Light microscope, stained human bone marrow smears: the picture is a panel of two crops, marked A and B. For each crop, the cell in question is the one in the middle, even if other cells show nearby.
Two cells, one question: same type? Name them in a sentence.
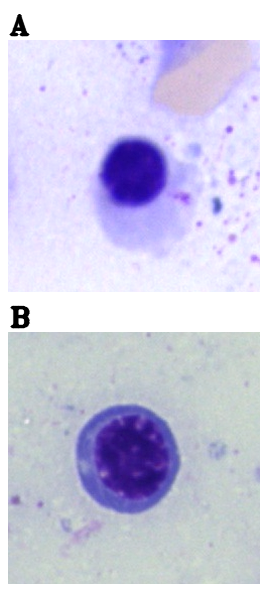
Yes, the middle cells in both crops are indeed erythroblasts.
